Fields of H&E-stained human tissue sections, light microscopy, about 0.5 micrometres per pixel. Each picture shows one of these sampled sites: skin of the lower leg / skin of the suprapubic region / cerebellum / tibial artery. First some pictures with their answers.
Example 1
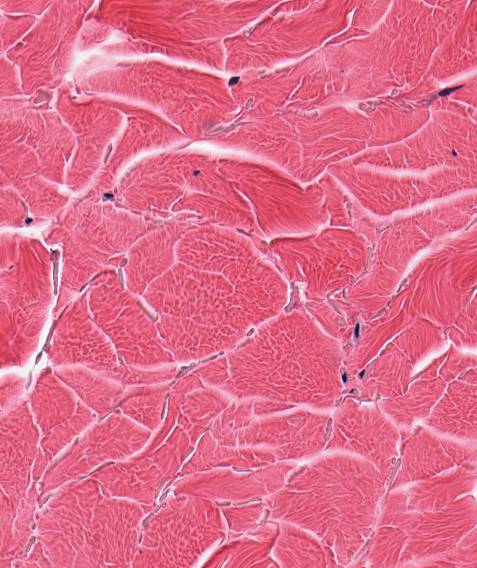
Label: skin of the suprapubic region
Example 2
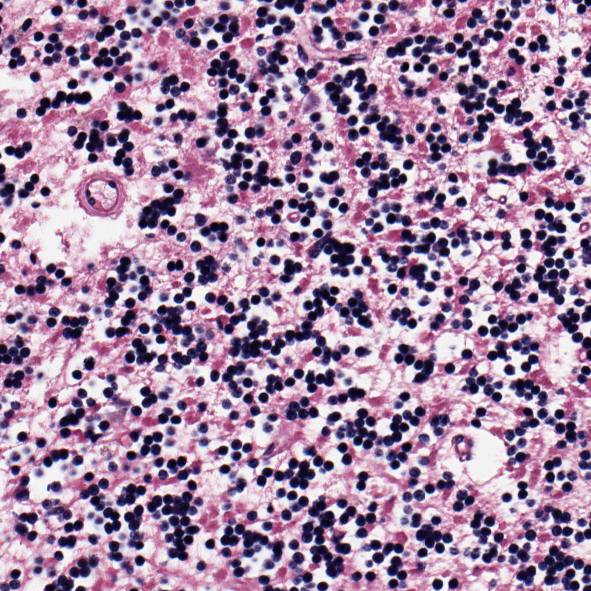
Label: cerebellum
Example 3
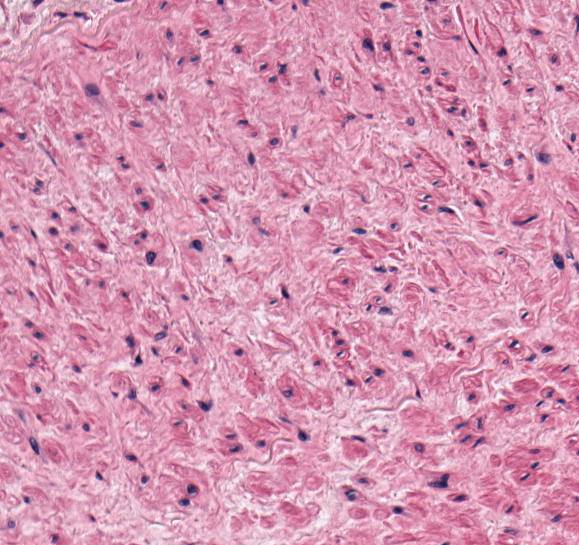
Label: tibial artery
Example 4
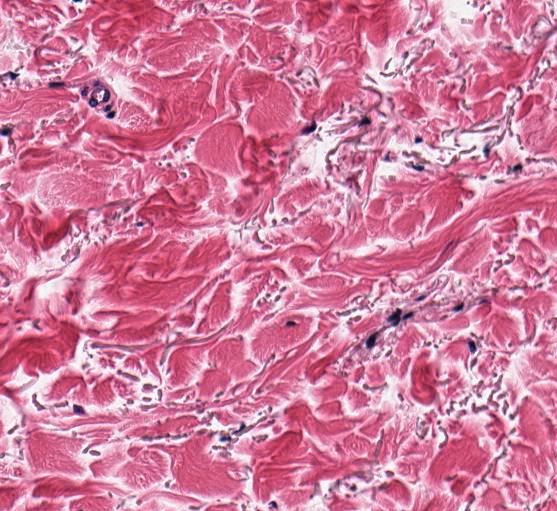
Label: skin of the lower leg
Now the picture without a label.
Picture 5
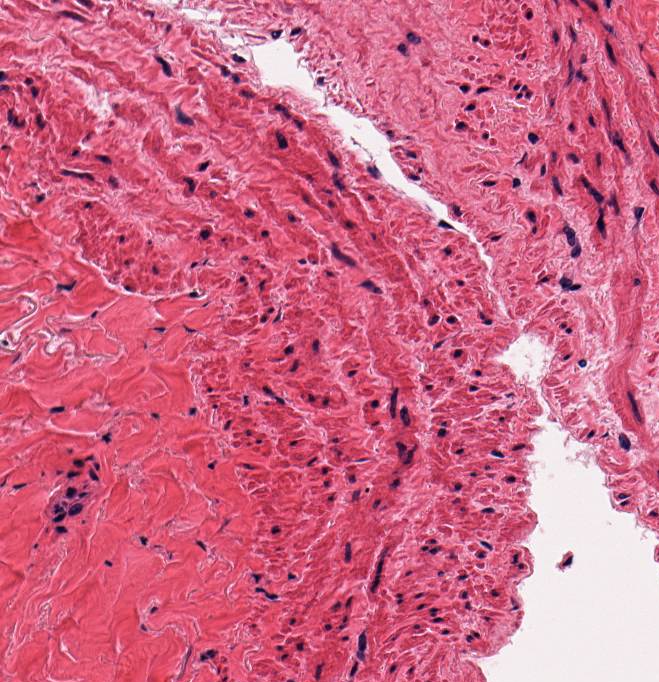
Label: tibial artery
